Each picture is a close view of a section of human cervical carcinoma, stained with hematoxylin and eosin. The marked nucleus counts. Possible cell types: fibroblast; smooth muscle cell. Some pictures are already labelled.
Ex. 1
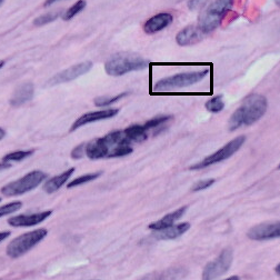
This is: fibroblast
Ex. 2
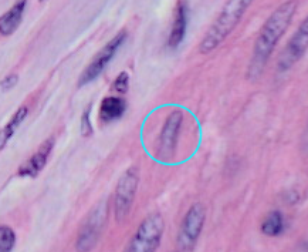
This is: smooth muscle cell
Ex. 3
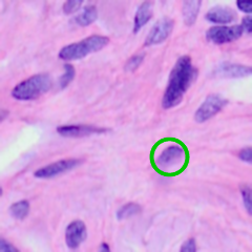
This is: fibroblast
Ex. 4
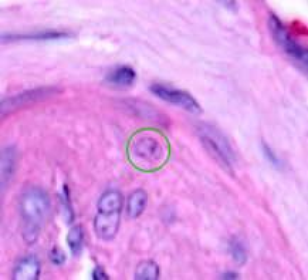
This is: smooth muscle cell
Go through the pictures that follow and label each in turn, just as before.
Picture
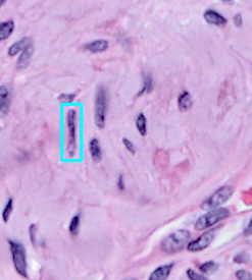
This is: fibroblast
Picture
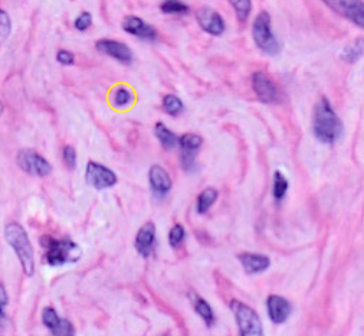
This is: smooth muscle cell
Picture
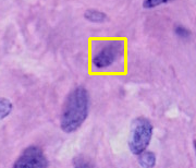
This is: fibroblast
